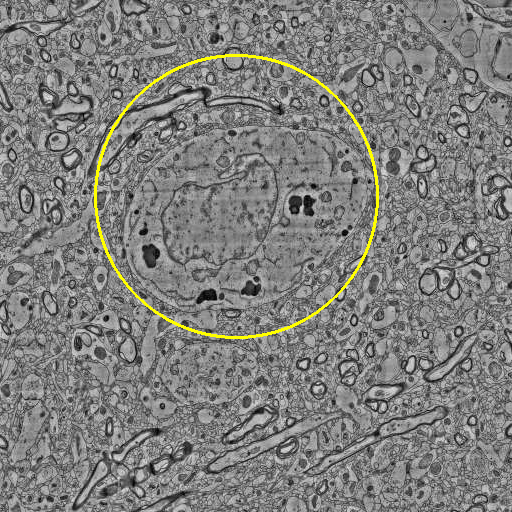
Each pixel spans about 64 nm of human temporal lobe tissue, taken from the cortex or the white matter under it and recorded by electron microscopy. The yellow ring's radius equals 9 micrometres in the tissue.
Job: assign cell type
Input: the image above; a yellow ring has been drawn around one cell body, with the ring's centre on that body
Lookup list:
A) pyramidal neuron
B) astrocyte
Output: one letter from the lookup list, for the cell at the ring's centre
A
